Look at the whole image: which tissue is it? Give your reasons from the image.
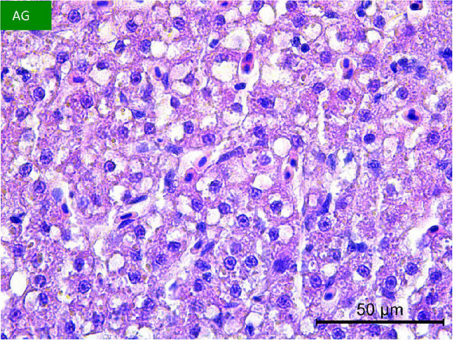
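Liver. Polygonal cells with central round dark blue nuclei are packed in cords. Narrow elongated spaces with flattened nuclei run between the cords. Cytoplasm is pink and finely granular.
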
